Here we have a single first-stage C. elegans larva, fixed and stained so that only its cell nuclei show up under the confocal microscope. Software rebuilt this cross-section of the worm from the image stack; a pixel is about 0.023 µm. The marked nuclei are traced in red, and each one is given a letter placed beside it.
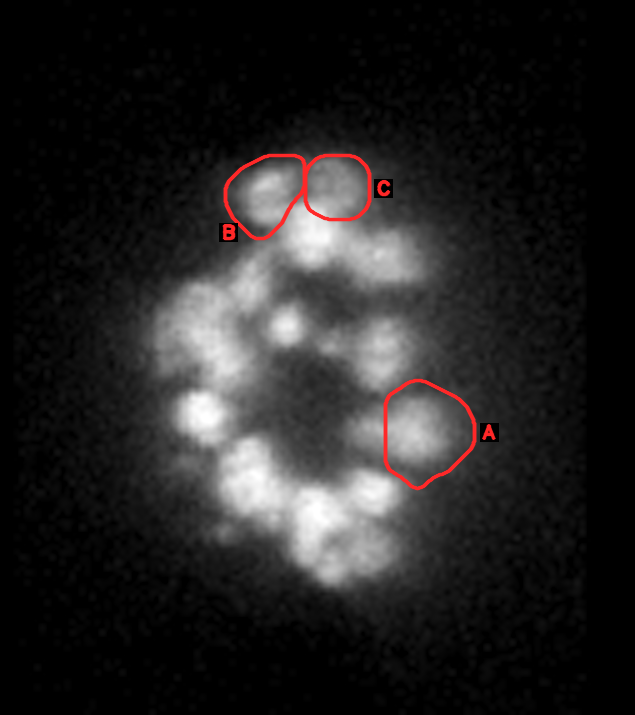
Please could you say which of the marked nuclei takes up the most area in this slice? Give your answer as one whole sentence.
A is the one with the largest cut area.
